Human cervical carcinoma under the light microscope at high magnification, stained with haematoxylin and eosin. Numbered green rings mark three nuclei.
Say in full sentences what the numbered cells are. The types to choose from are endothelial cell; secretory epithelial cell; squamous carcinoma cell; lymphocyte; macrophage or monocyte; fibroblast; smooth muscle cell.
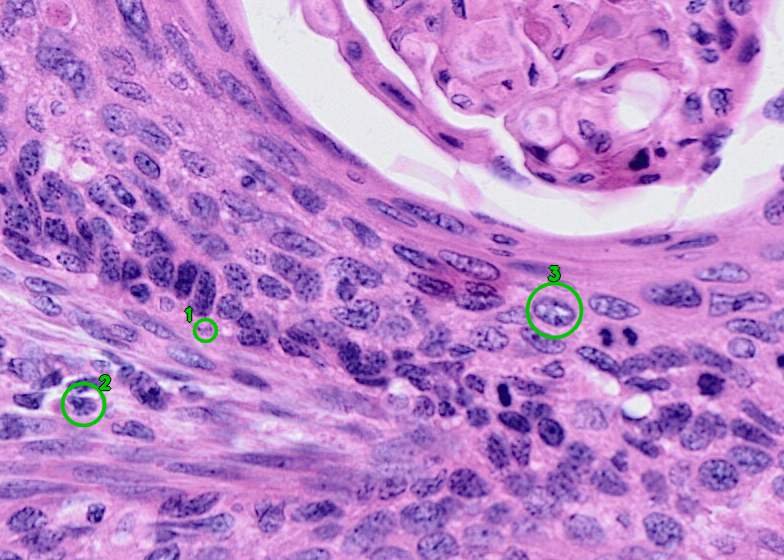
Cells 1 and 3 are squamous carcinoma cells. Cell 2 is a lymphocyte.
